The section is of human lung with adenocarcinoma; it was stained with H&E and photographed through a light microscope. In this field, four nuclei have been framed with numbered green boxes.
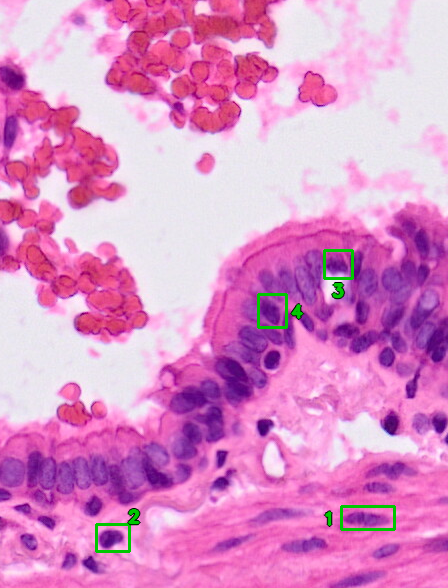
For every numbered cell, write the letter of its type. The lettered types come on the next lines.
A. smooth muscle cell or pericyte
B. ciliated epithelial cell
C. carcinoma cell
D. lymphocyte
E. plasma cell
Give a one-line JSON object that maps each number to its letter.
{"1": "A", "2": "D", "3": "B", "4": "B"}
